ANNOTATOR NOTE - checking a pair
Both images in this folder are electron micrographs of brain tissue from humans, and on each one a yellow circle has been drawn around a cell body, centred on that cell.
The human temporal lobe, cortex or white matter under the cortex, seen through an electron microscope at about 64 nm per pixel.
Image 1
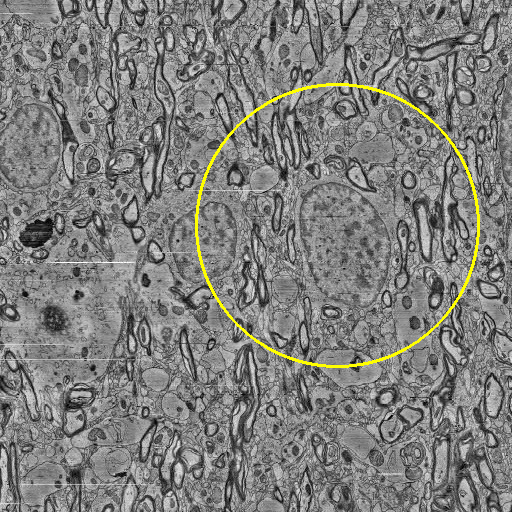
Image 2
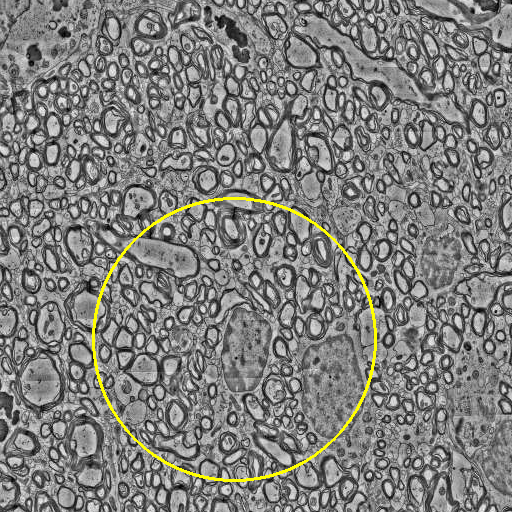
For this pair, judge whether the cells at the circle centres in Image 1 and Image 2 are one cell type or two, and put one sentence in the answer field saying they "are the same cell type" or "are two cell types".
For this pair, the cells at the circle centres in Images 1 and 2 are two cell types.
